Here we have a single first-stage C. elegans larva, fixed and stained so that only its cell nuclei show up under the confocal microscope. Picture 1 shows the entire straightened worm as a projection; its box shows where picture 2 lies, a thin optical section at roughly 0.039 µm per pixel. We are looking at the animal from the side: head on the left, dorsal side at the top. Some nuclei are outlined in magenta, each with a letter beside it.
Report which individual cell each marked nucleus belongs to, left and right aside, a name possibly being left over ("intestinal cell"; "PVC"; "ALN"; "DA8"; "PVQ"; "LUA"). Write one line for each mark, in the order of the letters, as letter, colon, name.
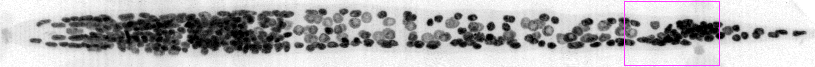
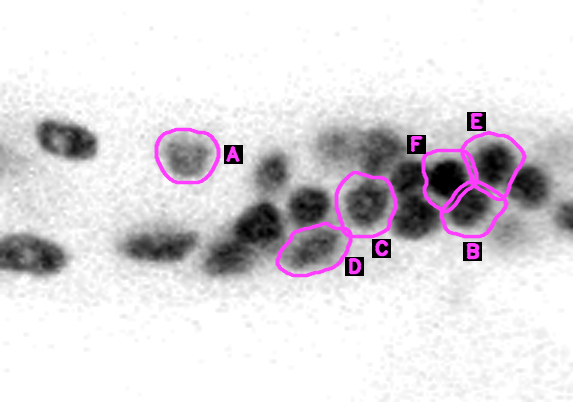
A: intestinal cell
B: PVC
C: PVQ
D: DA8
E: ALN
F: LUA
